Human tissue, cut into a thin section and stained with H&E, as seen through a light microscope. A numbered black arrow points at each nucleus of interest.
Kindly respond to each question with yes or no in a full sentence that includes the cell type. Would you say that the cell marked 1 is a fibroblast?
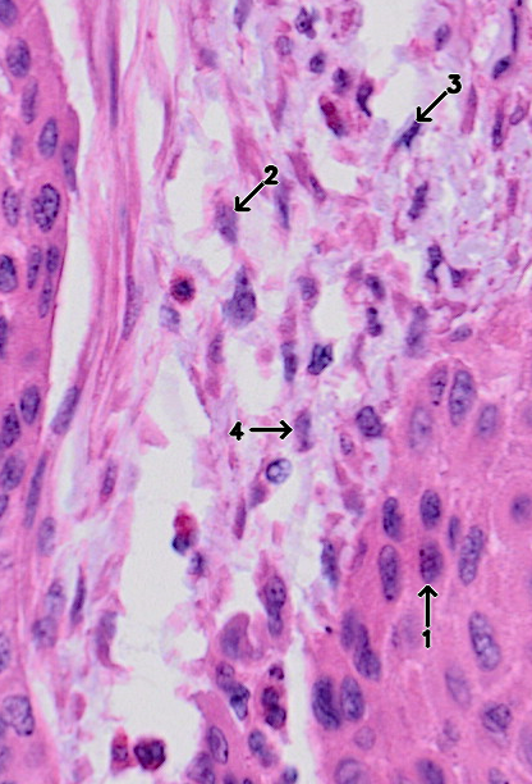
No, the cell given the number 1 is a squamous carcinoma cell, so not a fibroblast.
